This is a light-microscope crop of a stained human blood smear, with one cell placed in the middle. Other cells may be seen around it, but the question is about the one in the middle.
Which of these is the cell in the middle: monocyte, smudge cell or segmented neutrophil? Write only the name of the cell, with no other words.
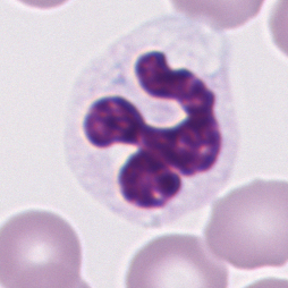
segmented neutrophil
